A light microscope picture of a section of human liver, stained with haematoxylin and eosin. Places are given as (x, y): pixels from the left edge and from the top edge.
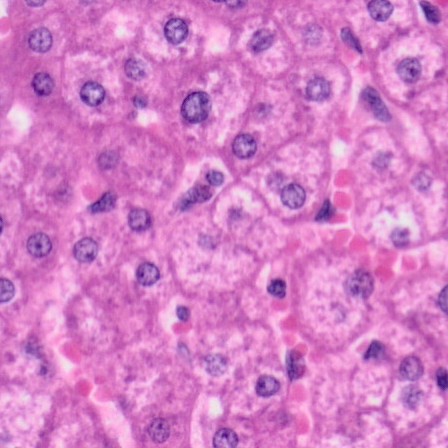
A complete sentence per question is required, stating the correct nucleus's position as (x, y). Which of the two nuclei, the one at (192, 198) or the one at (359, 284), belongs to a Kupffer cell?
Located at (192, 198), this nucleus is the one belonging to a Kupffer cell.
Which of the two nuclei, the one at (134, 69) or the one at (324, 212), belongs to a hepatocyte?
It is the nucleus at (134, 69) that forms part of a hepatocyte.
